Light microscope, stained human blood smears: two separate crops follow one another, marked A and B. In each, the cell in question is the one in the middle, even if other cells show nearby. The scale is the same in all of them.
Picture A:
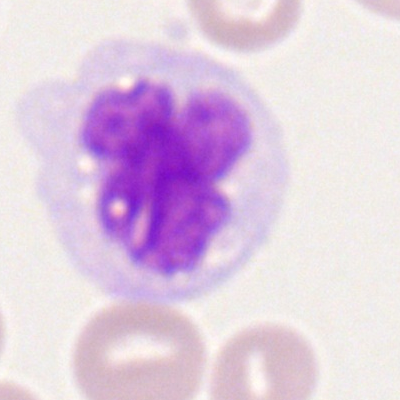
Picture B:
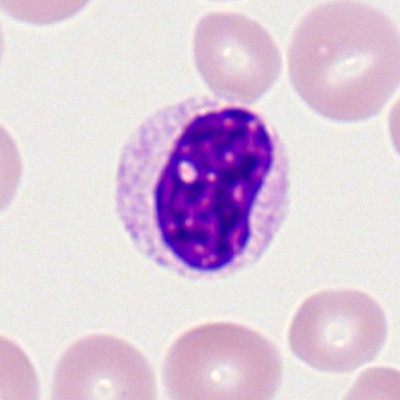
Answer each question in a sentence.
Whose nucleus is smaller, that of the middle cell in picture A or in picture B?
Picture A shows the smaller nucleus, since that in picture B covers about 2 times as much area.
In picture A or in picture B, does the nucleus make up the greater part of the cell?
It is the cell in picture B that is filled more by its nucleus.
